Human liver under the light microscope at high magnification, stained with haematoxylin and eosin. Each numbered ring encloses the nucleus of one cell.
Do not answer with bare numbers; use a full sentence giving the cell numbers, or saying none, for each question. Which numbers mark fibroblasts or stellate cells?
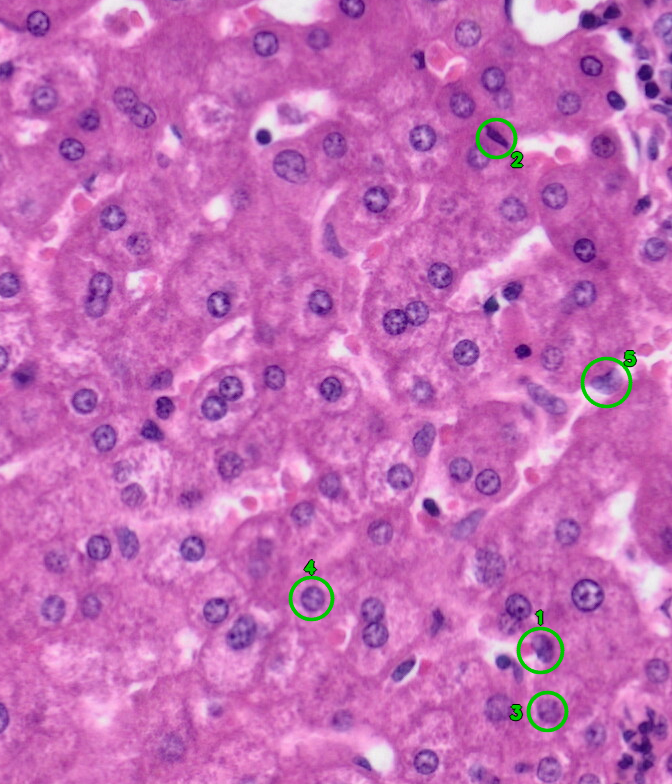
Of the numbered nuclei, only the one labelled 2 belongs to a fibroblast or stellate cell.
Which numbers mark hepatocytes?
The cells numbered 3 and 4 are of one kind: hepatocytes.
